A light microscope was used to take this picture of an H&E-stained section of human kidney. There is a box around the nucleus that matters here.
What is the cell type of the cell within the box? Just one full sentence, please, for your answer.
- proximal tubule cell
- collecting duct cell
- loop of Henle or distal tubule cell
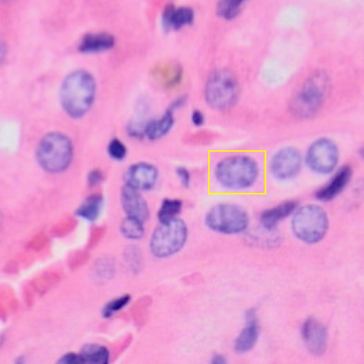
In the context of this tissue, the cell within the box is a collecting duct cell.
